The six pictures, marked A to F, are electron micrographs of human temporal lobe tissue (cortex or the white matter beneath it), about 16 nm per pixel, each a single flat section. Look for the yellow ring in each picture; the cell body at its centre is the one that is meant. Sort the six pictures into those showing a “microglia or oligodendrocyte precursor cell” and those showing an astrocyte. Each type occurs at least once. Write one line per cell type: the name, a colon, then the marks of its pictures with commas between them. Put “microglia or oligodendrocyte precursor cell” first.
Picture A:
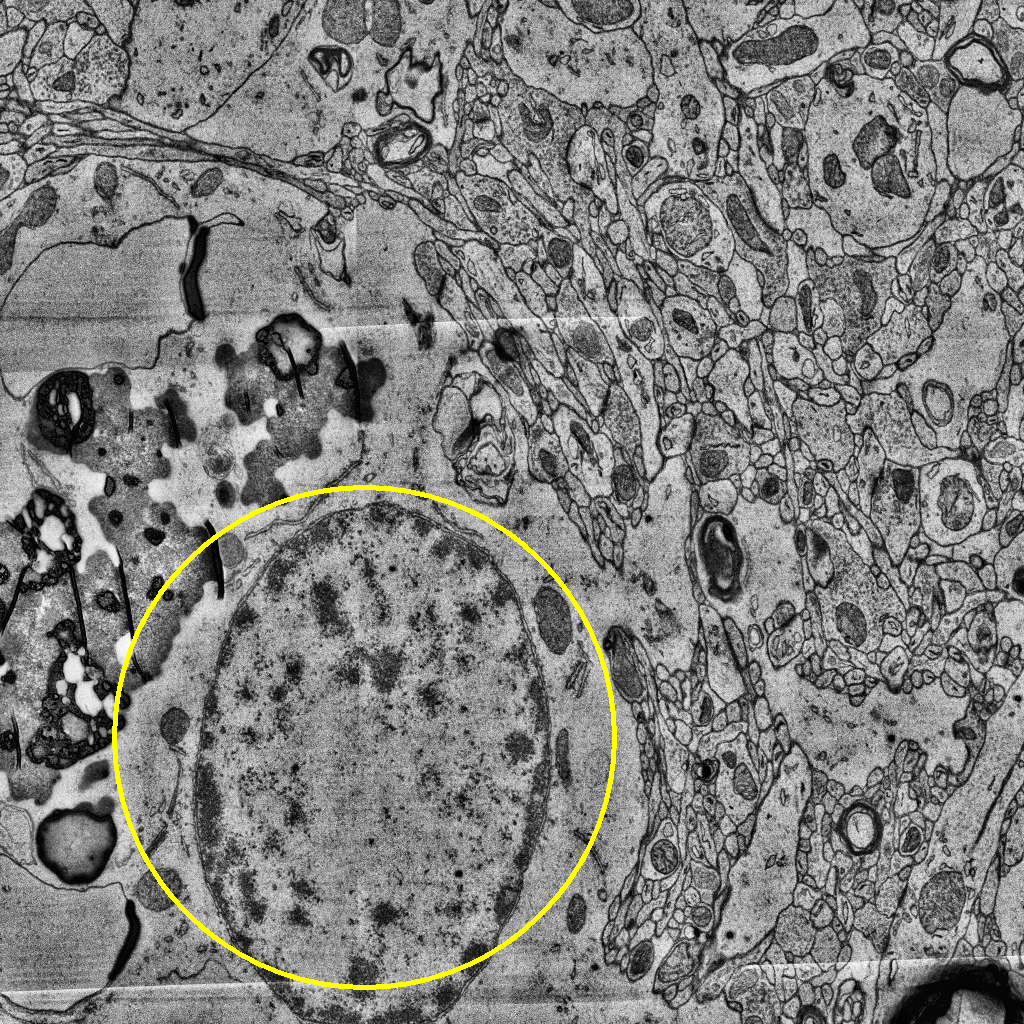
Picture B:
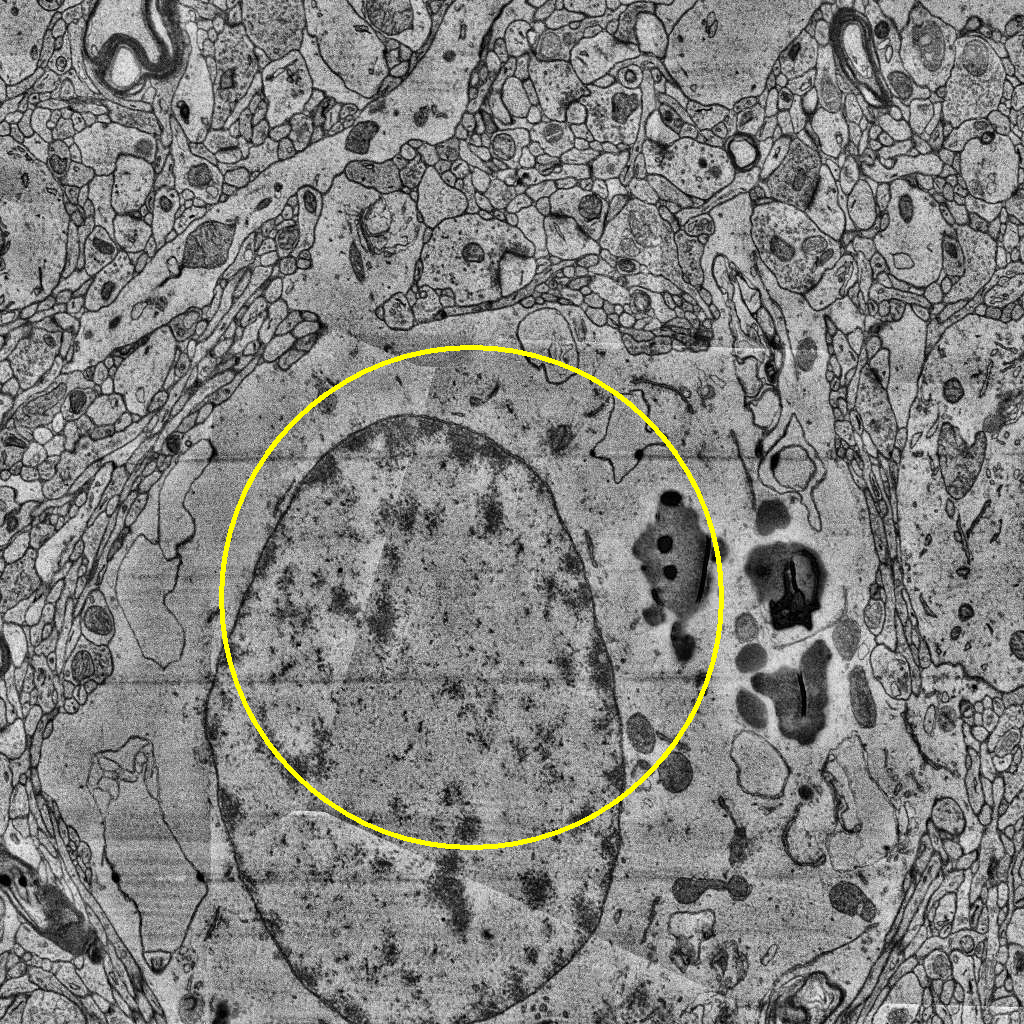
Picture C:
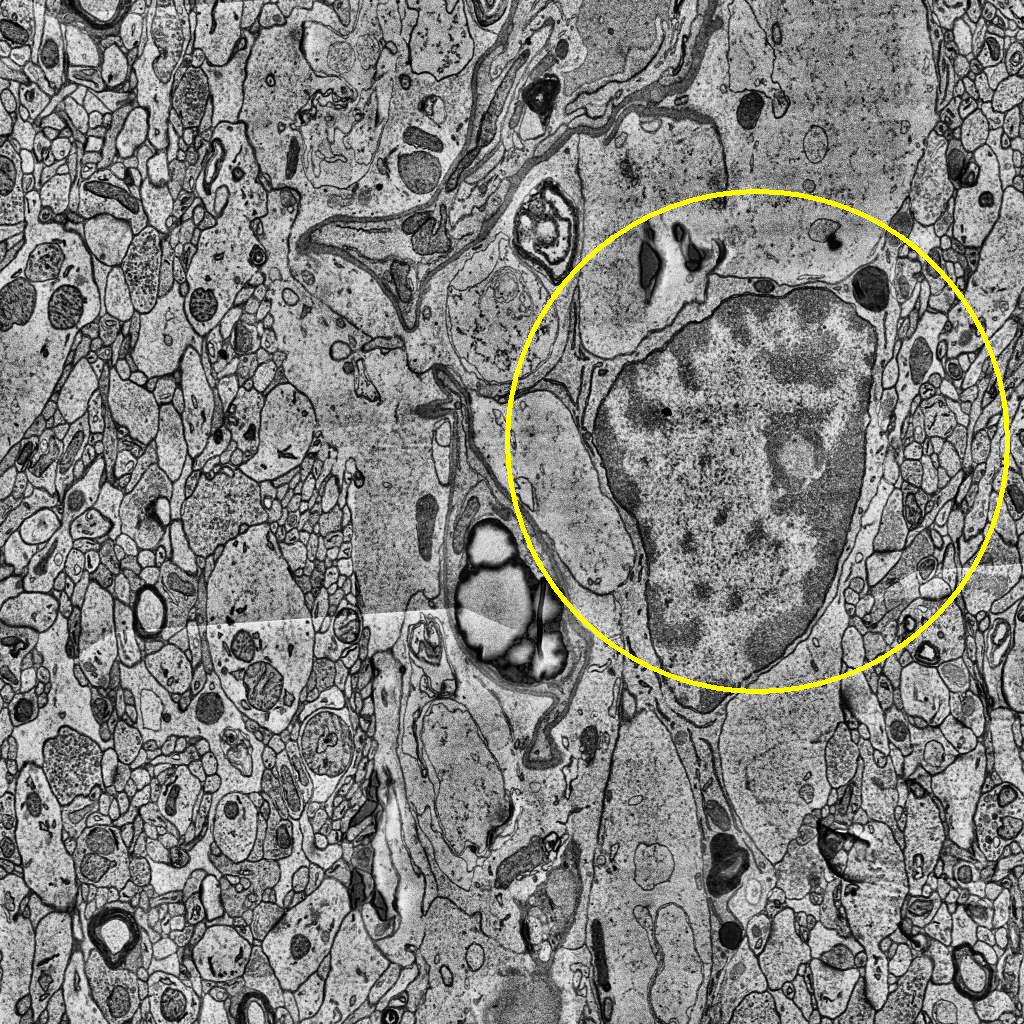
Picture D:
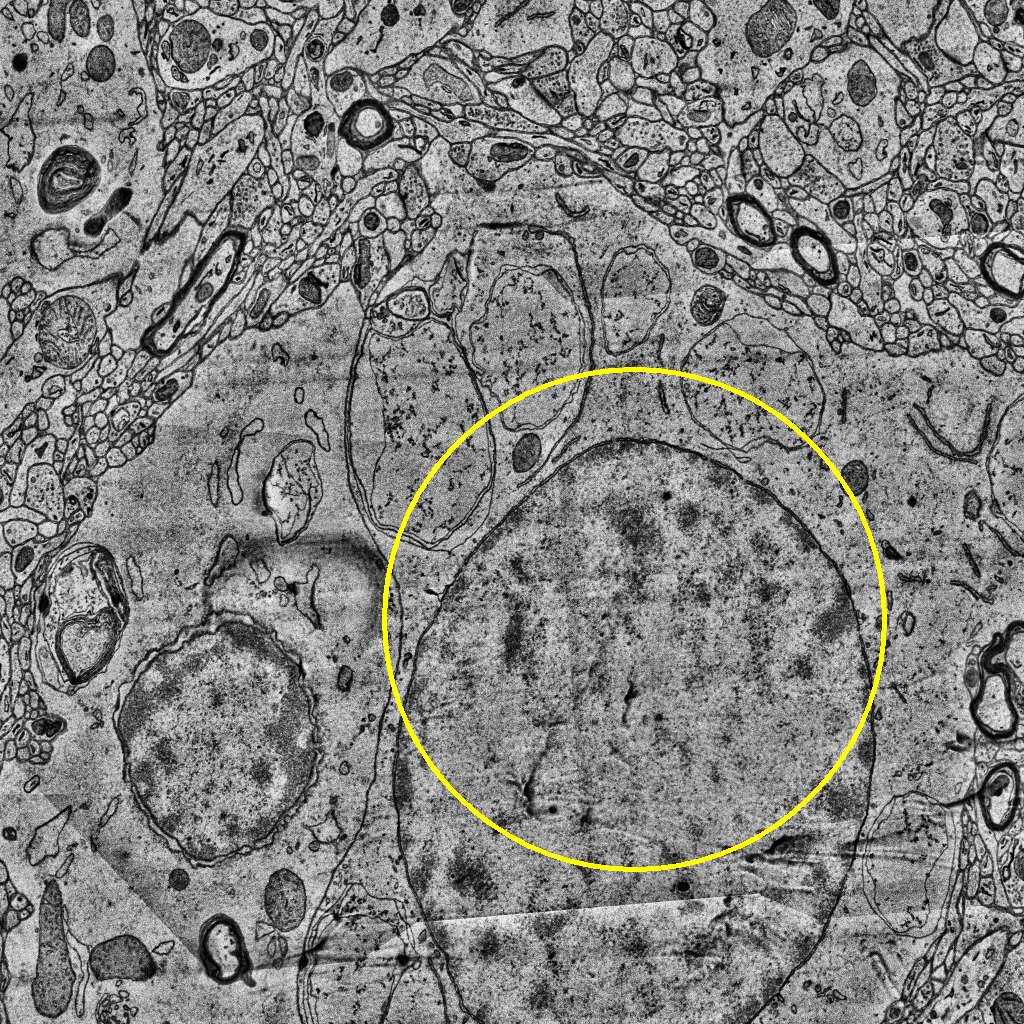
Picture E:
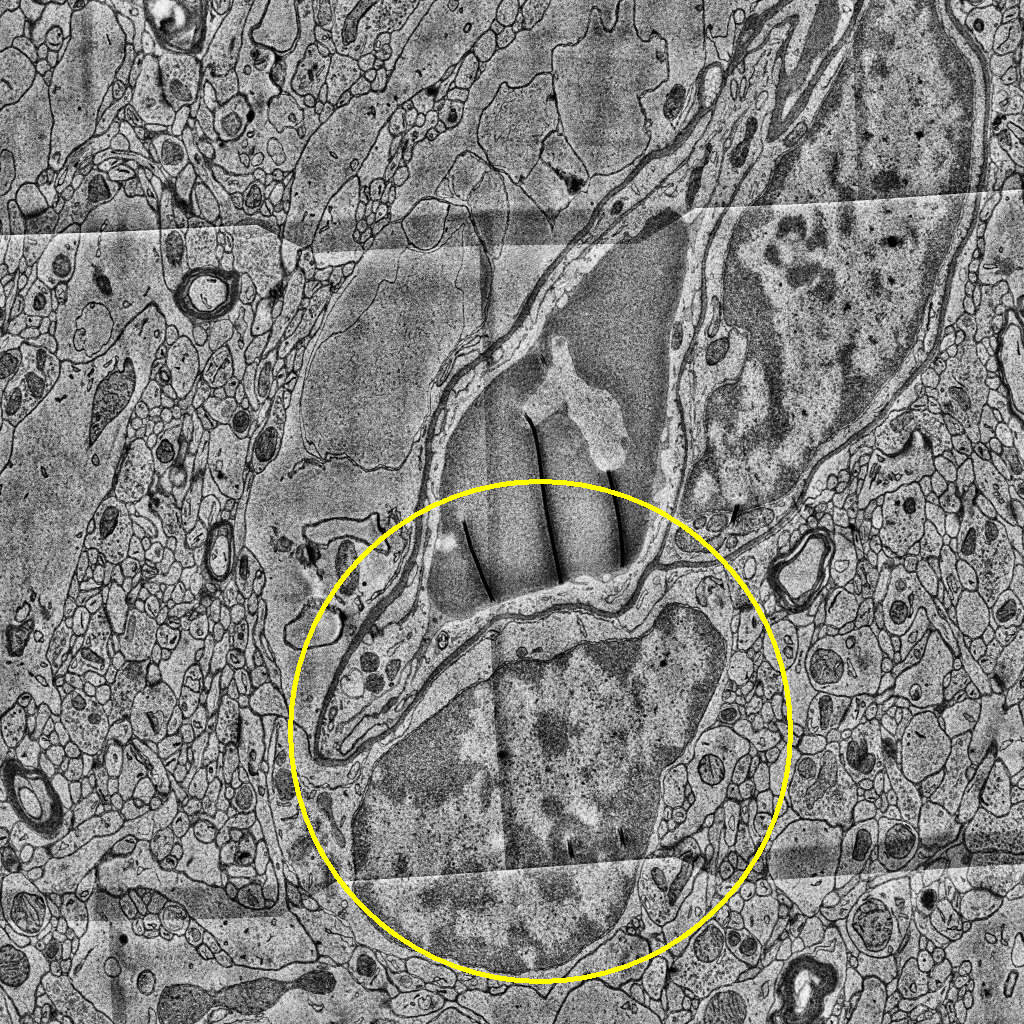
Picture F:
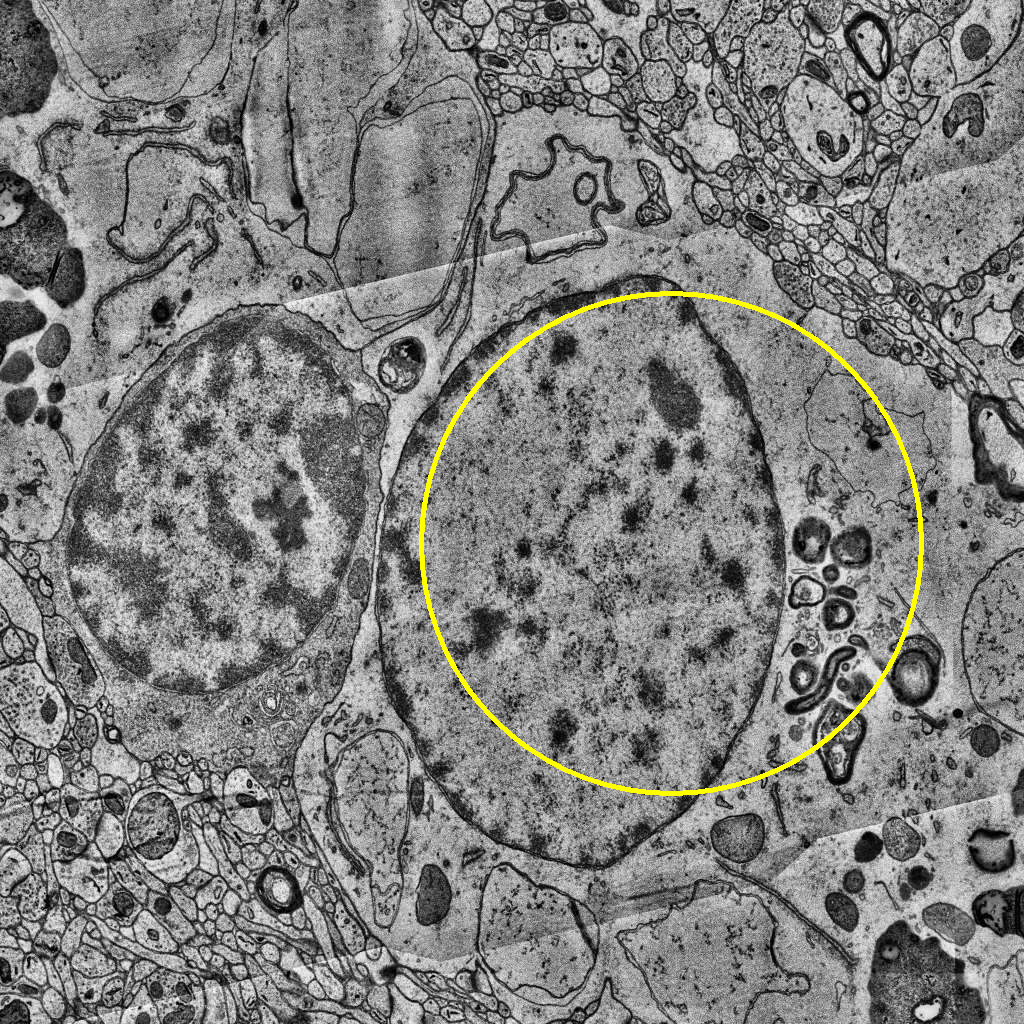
microglia or oligodendrocyte precursor cell: C, E
astrocyte: A, B, D, F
